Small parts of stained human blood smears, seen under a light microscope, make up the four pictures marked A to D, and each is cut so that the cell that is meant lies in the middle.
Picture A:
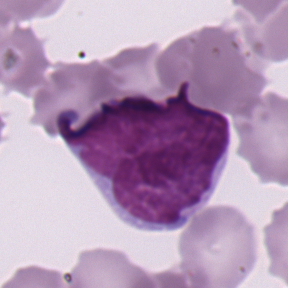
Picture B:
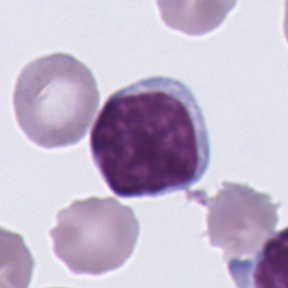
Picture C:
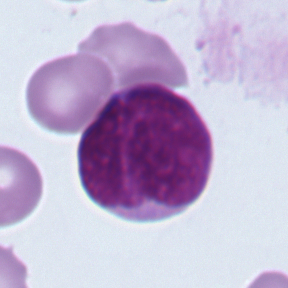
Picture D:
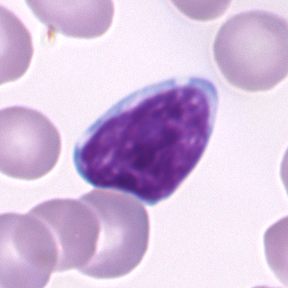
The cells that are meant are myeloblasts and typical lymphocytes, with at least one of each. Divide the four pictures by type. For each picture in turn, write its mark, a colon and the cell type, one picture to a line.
A: myeloblast
B: typical lymphocyte
C: myeloblast
D: myeloblast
